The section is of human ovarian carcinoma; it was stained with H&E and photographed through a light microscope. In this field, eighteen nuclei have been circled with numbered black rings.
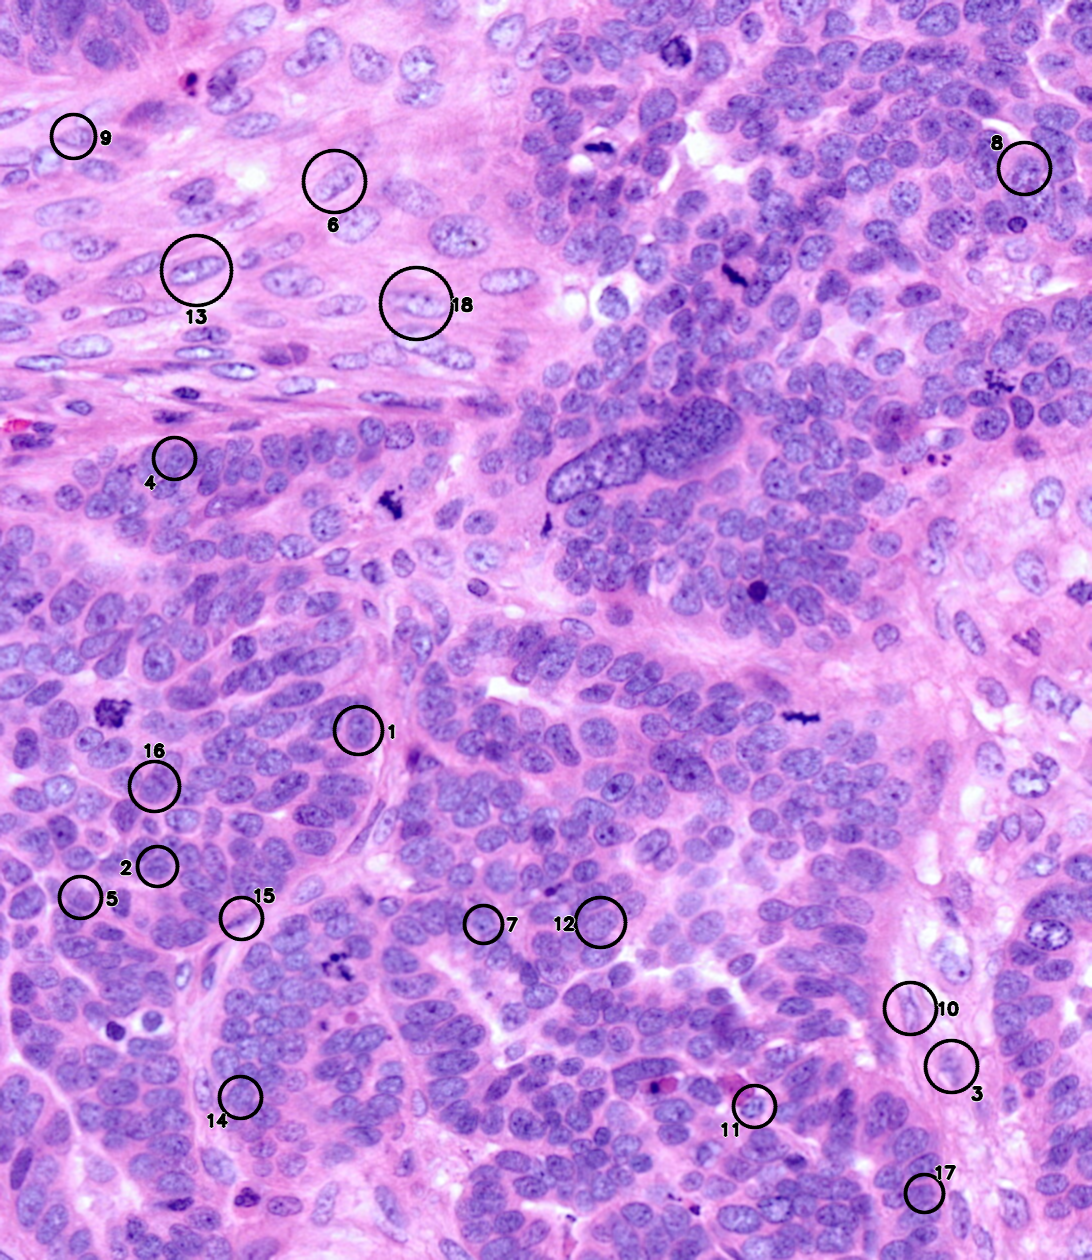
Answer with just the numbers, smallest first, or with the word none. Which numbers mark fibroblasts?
3, 6, 9, 10, 13, 15, 18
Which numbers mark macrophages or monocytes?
11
